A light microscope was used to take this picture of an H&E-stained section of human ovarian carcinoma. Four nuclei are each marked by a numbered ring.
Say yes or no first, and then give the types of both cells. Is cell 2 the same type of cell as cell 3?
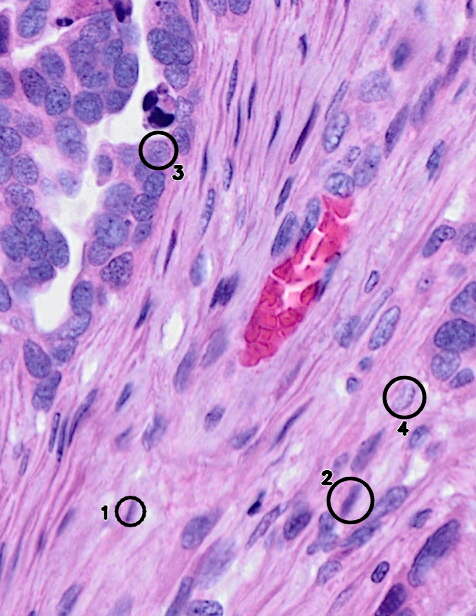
No, the cell labelled 2 is a fibroblast; the cell labelled 3 is a carcinoma cell.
